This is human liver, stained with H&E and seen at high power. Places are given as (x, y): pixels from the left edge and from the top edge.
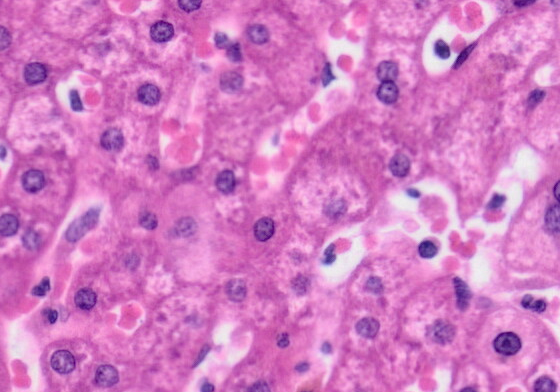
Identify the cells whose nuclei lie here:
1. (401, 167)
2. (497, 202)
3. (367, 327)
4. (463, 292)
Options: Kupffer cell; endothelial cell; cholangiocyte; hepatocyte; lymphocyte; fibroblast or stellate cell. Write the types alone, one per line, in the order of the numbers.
hepatocyte
lymphocyte
hepatocyte
fibroblast or stellate cell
